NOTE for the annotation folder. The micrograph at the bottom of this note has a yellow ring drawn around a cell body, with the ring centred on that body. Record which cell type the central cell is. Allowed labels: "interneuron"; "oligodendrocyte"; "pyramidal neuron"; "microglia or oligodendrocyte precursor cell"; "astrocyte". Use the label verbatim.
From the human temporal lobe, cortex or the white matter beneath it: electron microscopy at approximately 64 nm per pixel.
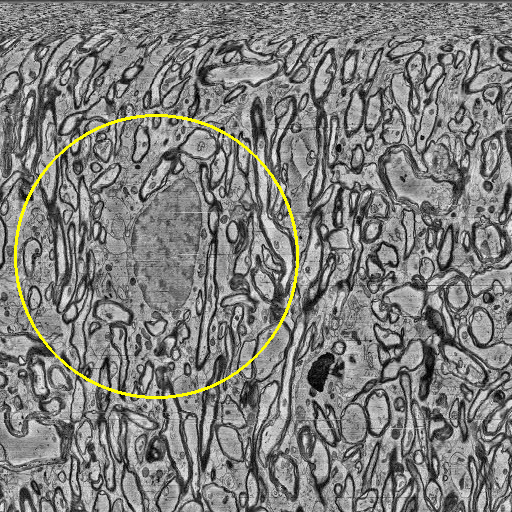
oligodendrocyte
